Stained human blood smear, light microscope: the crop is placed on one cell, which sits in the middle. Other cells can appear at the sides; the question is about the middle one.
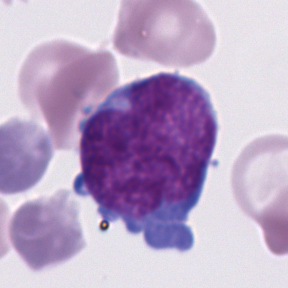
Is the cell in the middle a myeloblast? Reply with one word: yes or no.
yes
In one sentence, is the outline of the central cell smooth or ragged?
Seen at its edge, the cell is not smooth but ragged or projecting.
